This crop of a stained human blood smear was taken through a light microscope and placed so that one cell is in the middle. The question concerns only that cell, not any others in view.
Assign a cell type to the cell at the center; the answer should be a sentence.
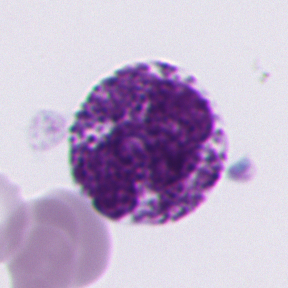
The cell occupying the middle of the crop is a basophil.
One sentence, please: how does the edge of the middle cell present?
The outline traces a smooth curve with no projections along it.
